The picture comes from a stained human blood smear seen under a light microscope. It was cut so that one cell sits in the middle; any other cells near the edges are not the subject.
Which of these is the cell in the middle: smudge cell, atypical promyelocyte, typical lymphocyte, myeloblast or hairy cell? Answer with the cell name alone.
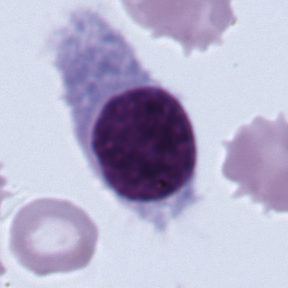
hairy cell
